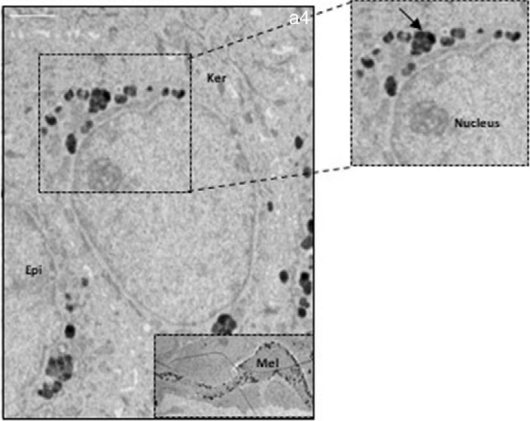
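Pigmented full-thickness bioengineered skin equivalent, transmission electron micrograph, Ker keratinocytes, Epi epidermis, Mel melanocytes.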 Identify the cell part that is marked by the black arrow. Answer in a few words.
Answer: Melanosomes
